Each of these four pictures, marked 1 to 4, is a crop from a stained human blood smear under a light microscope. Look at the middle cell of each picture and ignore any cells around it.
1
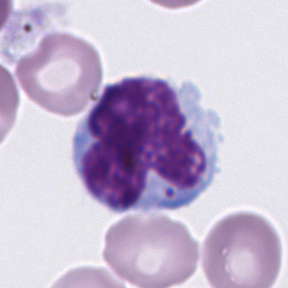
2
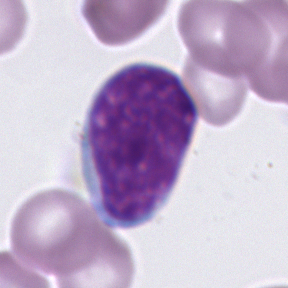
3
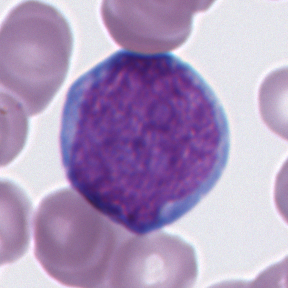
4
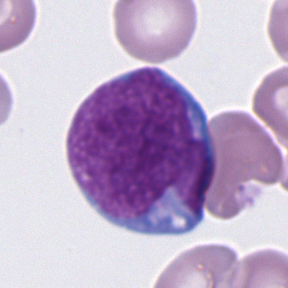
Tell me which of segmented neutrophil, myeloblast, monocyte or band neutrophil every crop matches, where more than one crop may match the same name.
1: monocyte
2: myeloblast
3: myeloblast
4: myeloblast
